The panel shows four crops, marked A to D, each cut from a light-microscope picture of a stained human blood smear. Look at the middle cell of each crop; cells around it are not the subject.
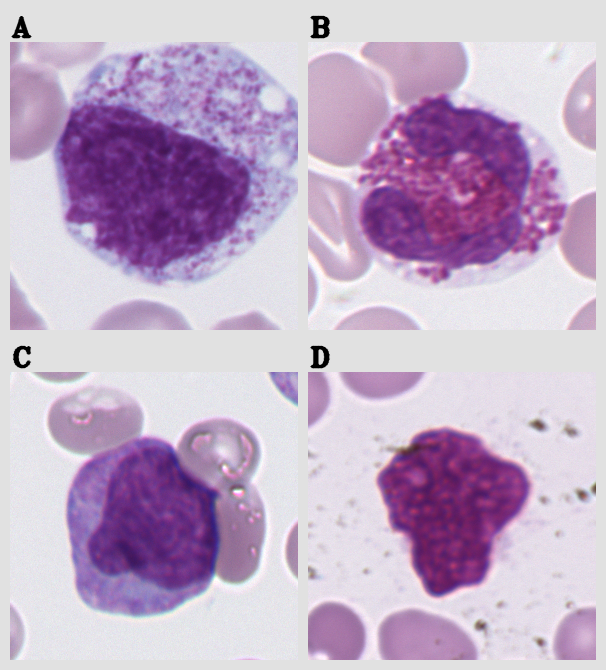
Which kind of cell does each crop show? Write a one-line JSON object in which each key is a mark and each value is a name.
{"A": "myelocyte", "B": "eosinophil", "C": "atypical promyelocyte", "D": "smudge cell"}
